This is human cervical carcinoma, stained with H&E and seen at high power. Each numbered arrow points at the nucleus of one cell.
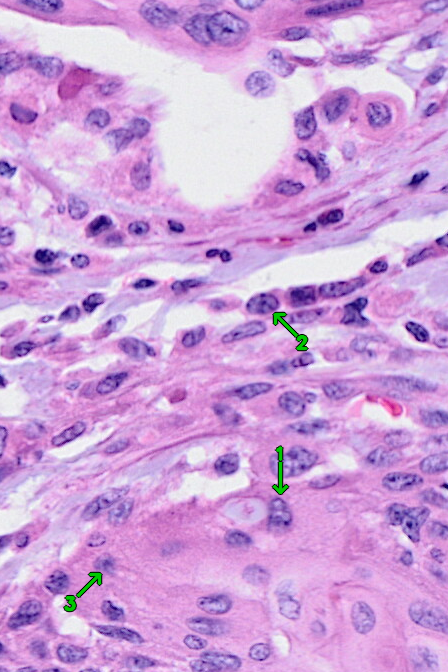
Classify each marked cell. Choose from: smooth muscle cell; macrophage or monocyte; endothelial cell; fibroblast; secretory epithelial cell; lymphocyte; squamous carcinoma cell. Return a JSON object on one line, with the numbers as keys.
{"1": "squamous carcinoma cell", "2": "macrophage or monocyte", "3": "squamous carcinoma cell"}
